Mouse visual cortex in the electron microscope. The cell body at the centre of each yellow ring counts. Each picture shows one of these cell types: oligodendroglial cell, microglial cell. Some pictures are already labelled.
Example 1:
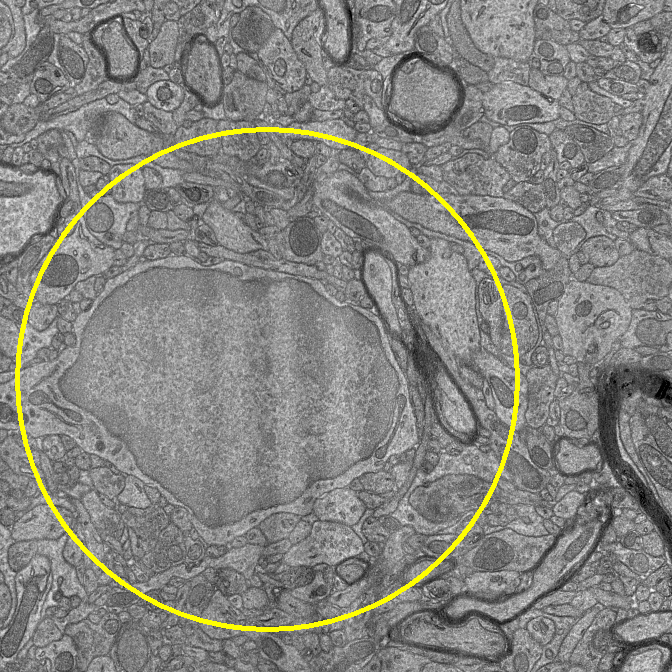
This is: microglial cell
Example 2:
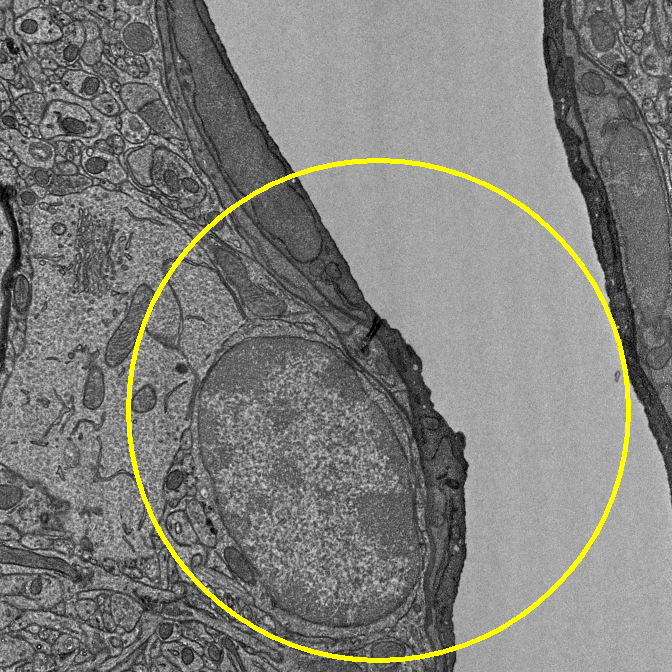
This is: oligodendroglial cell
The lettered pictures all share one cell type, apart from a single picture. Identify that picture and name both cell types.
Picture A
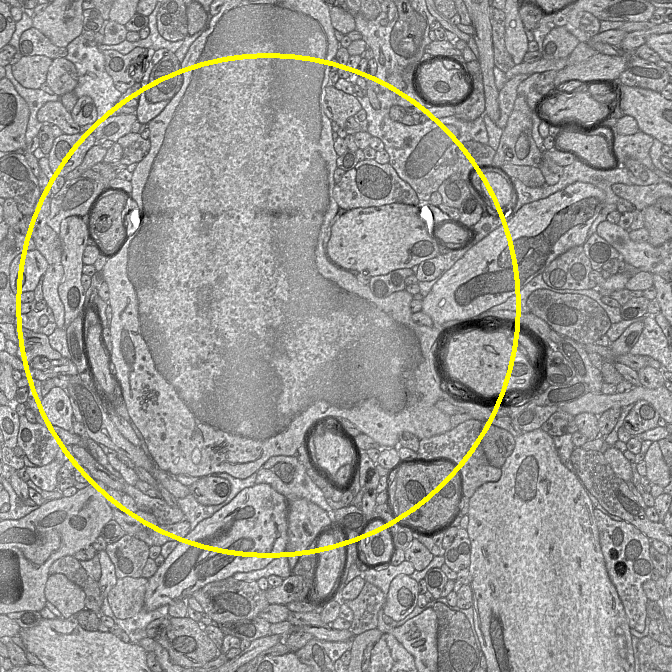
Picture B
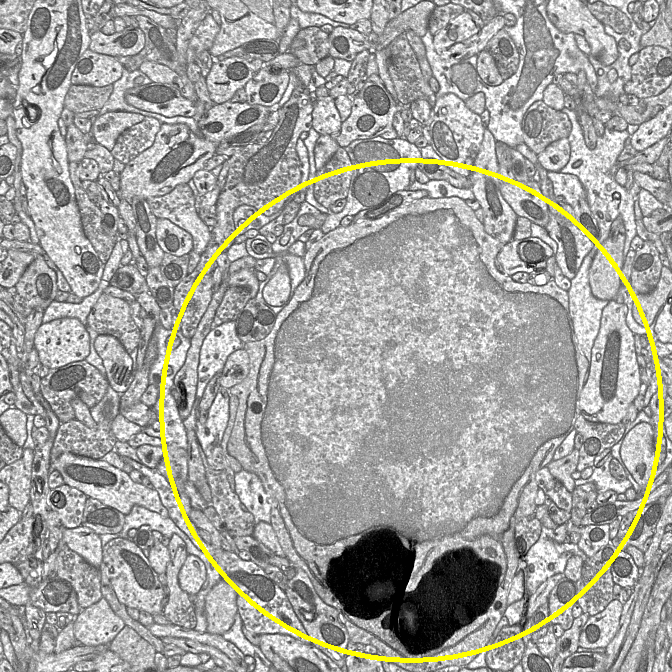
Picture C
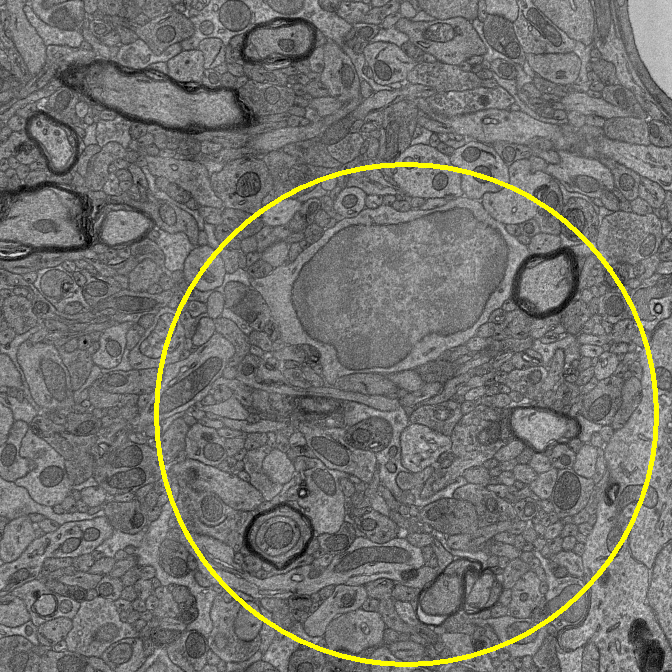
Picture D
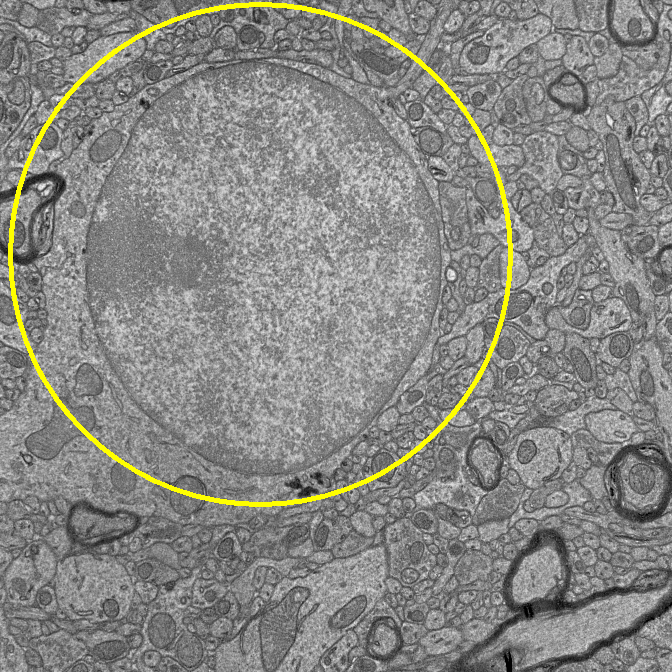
Exception: D, showing oligodendroglial cell. Remaining pictures: microglial cell.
